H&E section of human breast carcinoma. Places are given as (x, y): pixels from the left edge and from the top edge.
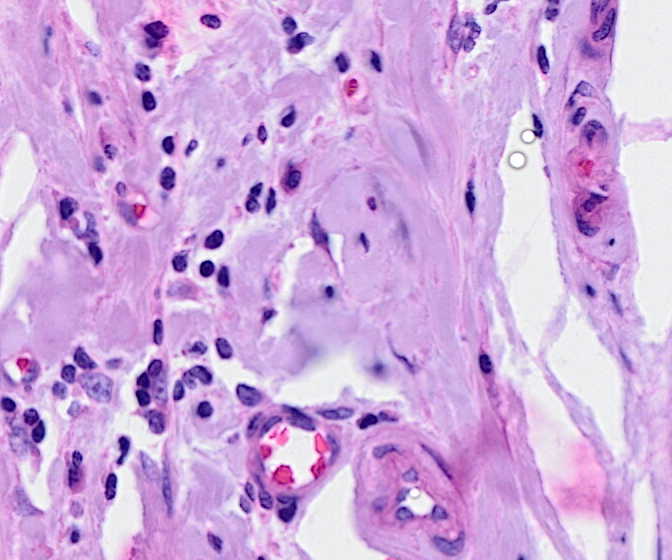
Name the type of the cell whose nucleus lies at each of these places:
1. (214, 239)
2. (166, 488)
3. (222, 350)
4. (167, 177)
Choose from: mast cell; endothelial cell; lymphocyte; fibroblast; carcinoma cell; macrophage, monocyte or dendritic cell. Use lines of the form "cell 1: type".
cell 1: lymphocyte
cell 2: fibroblast
cell 3: lymphocyte
cell 4: lymphocyte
